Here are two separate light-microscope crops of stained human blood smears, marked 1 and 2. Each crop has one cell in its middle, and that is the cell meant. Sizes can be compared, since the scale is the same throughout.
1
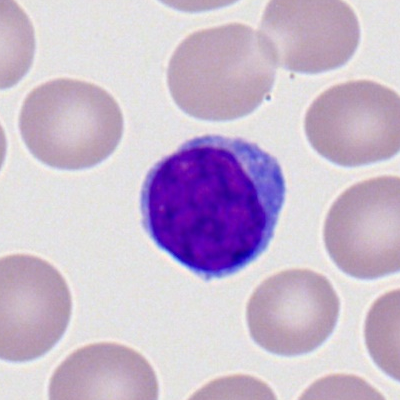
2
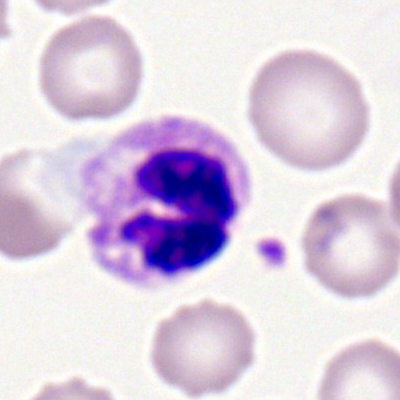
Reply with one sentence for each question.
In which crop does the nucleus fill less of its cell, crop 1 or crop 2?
The nucleus fills less of the cell in crop 2 than in crop 1.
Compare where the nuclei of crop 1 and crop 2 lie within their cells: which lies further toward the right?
Seen within its cell, the nucleus in crop 2 lies further toward the right.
